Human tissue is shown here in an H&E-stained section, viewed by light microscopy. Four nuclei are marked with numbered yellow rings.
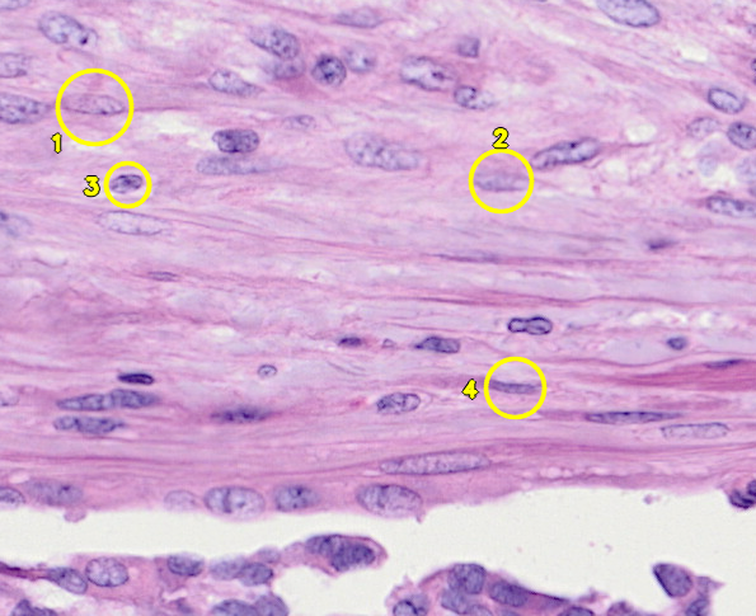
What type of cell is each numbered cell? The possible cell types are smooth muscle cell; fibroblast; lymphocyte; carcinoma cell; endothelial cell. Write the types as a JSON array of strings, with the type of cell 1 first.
["fibroblast", "fibroblast", "lymphocyte", "fibroblast"]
